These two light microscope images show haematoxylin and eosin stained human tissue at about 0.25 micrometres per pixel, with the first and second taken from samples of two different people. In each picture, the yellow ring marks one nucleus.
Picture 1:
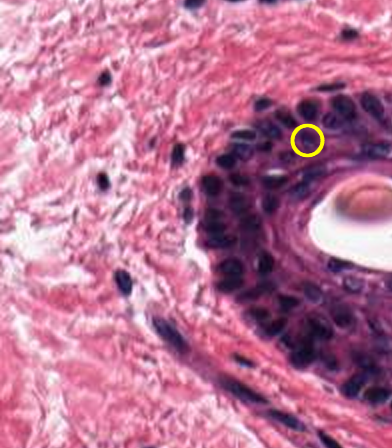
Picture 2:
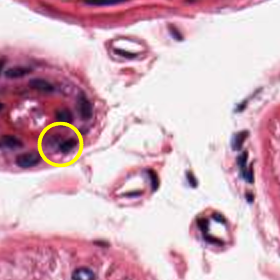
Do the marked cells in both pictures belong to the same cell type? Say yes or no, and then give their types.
No, the first is a keratinocyte and the second a sweat gland cell.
